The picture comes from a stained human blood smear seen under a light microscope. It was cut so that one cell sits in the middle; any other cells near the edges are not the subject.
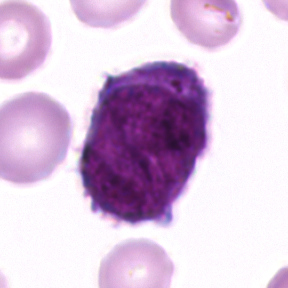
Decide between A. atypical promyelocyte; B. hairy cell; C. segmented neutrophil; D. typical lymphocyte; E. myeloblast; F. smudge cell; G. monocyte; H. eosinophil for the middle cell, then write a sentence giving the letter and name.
Well, the cell in the middle is an atypical promyelocyte, making option A right.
